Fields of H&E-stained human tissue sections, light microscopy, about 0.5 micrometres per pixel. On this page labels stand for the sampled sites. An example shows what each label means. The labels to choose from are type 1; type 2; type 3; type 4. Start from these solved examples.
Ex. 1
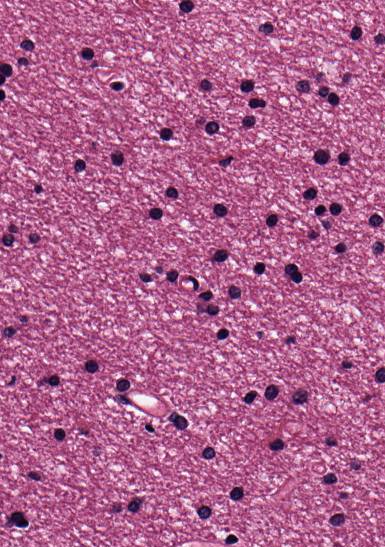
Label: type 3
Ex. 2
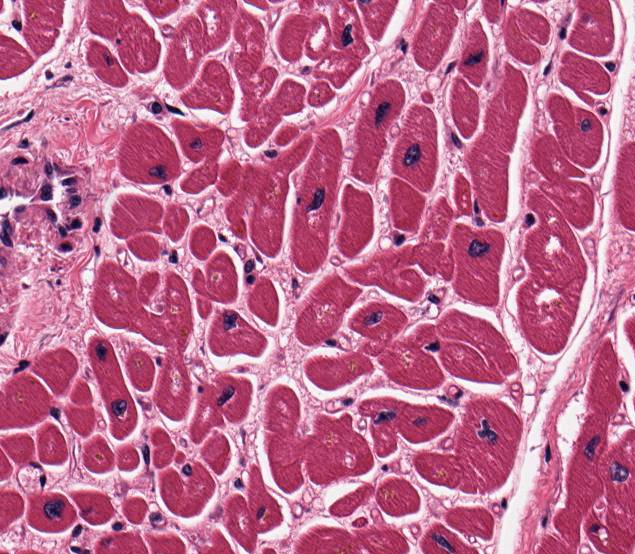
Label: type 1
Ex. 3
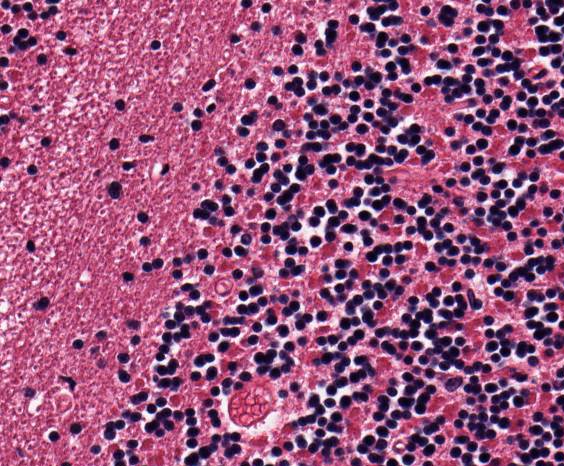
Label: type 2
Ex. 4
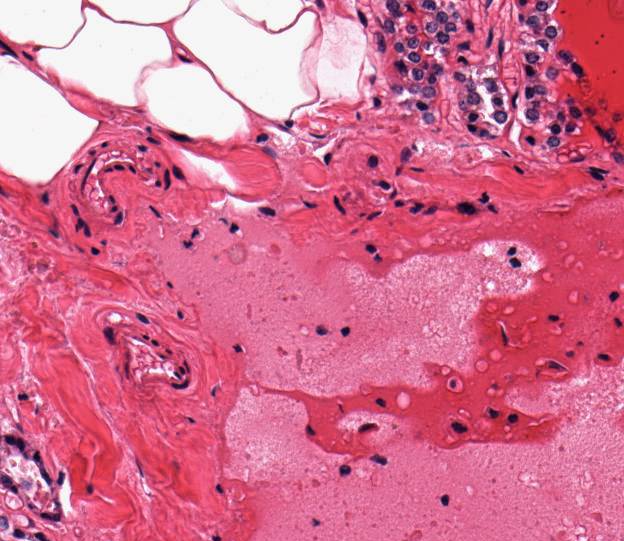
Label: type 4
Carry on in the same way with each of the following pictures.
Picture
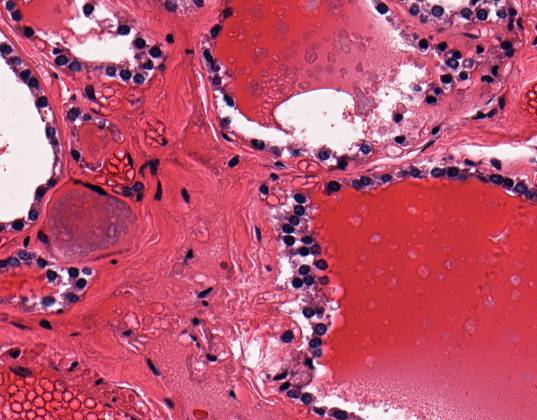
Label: type 4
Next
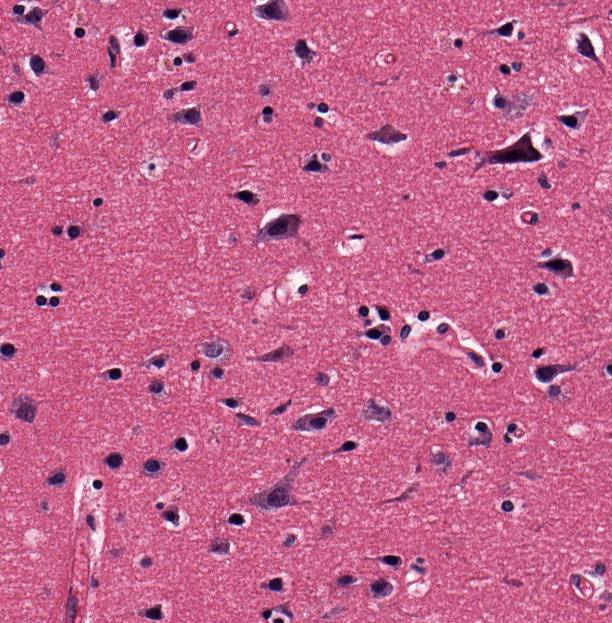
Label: type 3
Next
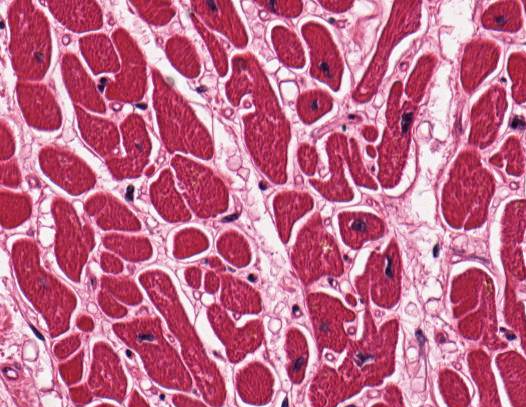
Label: type 1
